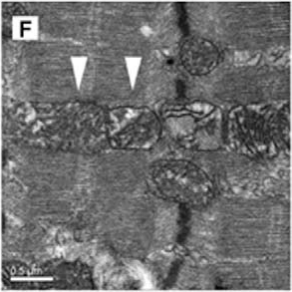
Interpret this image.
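Skeletal muscle fibre with myofibrils showing regular sarcomeres and dark Z-lines. A row of intermyofibrillar mitochondria lies between myofibrils; their matrix is pale and the cristae are sparse and disrupted.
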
